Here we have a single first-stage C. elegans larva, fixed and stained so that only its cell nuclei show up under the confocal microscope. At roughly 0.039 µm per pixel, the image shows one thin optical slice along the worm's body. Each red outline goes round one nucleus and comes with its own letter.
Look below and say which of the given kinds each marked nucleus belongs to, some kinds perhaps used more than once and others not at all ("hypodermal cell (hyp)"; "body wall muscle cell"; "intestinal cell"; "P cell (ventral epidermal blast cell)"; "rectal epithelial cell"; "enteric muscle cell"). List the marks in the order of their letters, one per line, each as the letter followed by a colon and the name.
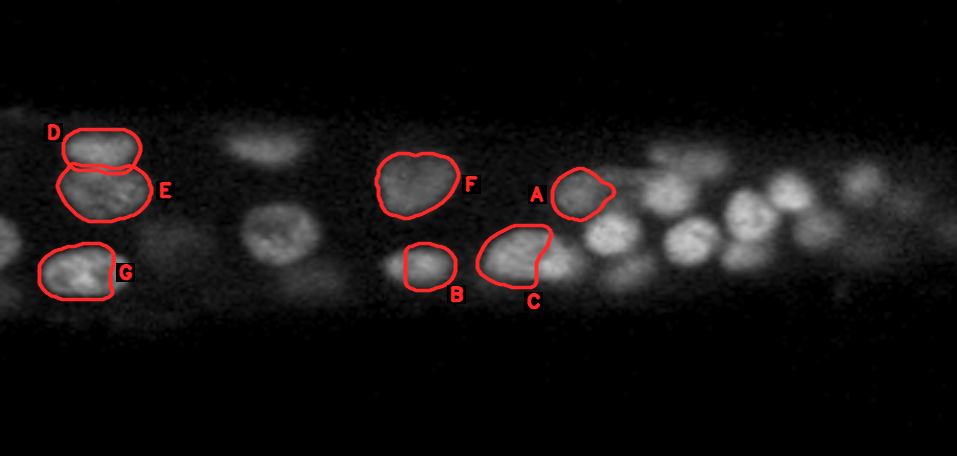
A: hypodermal cell (hyp)
B: enteric muscle cell
C: P cell (ventral epidermal blast cell)
D: body wall muscle cell
E: hypodermal cell (hyp)
F: intestinal cell
G: P cell (ventral epidermal blast cell)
